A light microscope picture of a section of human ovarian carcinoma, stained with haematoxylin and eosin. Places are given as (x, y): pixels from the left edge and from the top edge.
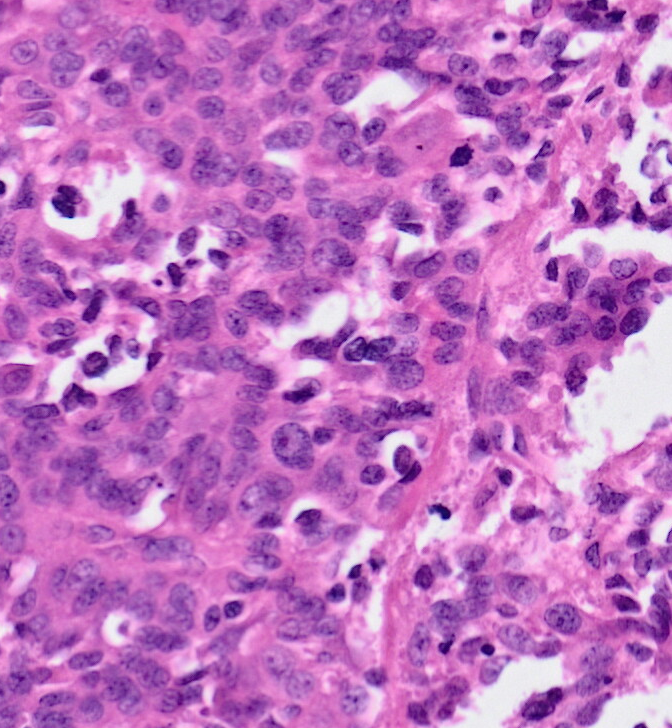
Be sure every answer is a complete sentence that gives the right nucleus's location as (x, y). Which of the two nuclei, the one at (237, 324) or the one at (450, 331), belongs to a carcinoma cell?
The nucleus that belongs to a carcinoma cell is located at (450, 331).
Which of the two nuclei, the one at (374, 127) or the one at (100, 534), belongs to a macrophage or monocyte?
The nucleus that belongs to a macrophage or monocyte sits at (374, 127).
